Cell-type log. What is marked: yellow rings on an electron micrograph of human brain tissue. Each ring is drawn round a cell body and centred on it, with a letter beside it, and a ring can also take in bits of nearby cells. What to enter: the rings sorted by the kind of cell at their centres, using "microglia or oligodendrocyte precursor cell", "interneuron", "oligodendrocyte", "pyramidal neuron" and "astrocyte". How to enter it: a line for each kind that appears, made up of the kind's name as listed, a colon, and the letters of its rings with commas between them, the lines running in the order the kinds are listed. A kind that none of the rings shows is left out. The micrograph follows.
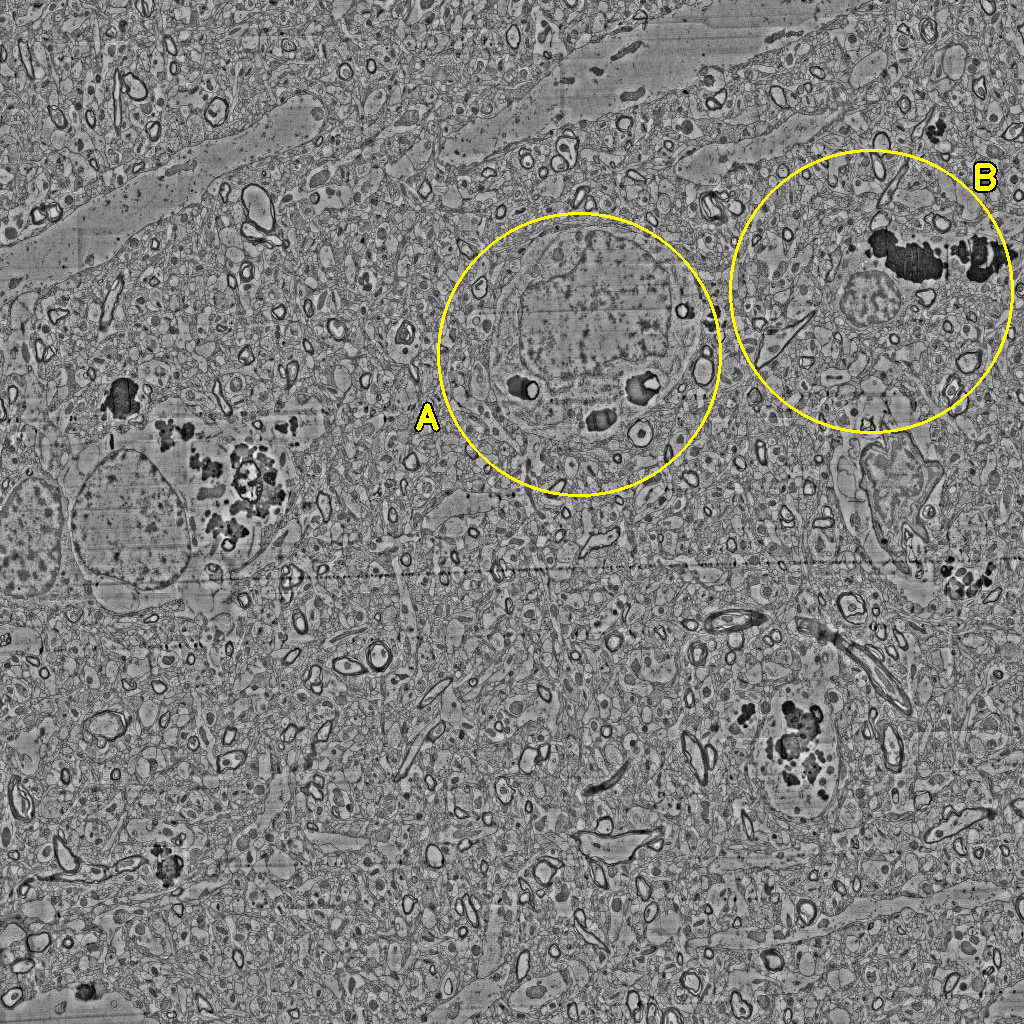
interneuron: A
oligodendrocyte: B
